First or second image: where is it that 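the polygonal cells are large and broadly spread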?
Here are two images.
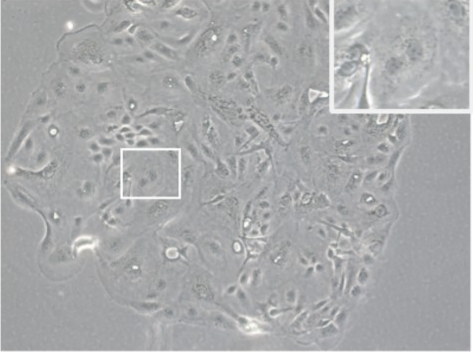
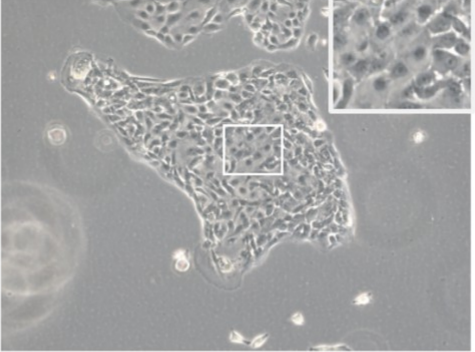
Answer: The first image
